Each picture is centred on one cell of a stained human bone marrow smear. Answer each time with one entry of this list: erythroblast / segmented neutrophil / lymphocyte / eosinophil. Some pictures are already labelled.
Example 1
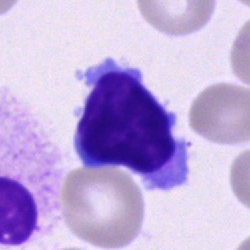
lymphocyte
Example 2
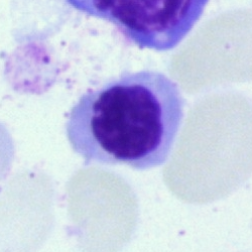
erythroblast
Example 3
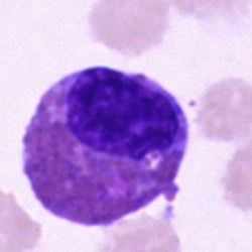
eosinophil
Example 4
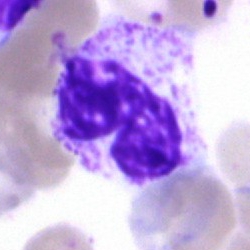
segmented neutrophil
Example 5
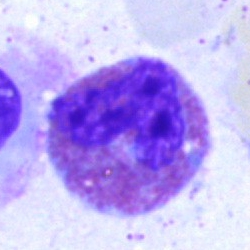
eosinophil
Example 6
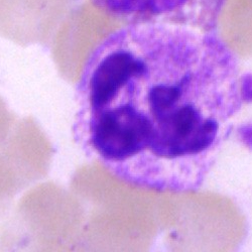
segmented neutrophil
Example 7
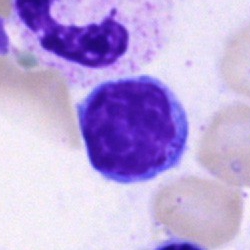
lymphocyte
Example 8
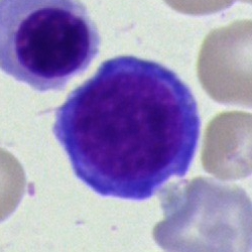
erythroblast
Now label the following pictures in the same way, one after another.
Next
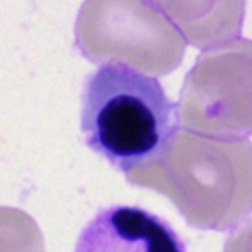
erythroblast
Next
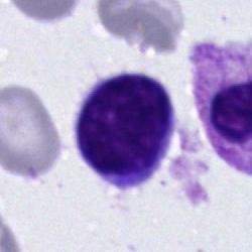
lymphocyte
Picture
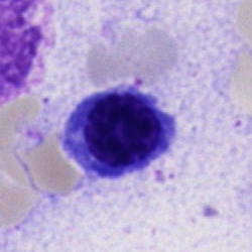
erythroblast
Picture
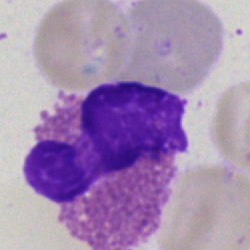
eosinophil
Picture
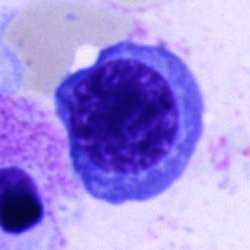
erythroblast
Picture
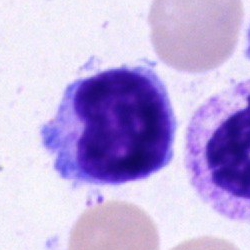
lymphocyte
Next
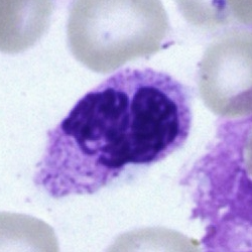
segmented neutrophil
